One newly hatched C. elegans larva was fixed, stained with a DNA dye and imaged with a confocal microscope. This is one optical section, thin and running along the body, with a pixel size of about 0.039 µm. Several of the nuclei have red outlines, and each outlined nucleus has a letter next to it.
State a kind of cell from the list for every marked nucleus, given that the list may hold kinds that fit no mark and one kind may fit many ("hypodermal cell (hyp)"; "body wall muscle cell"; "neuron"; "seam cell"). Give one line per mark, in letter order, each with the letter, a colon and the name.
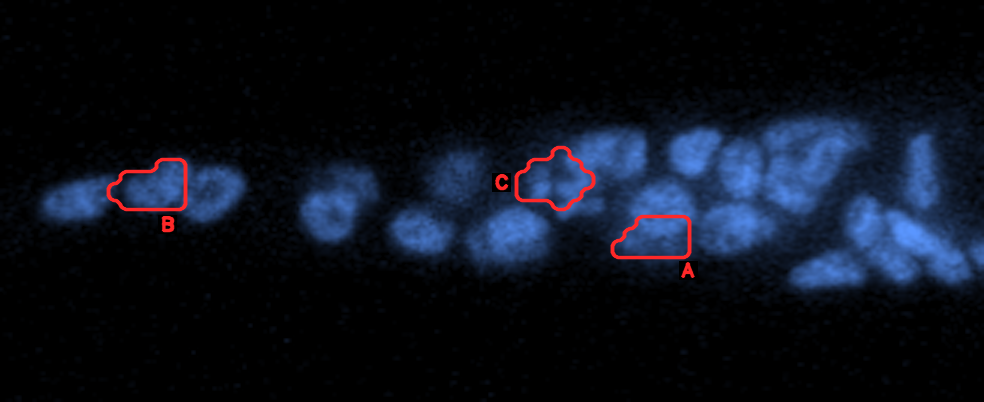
A: body wall muscle cell
B: hypodermal cell (hyp)
C: seam cell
